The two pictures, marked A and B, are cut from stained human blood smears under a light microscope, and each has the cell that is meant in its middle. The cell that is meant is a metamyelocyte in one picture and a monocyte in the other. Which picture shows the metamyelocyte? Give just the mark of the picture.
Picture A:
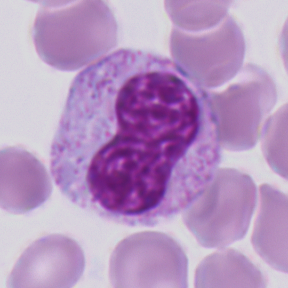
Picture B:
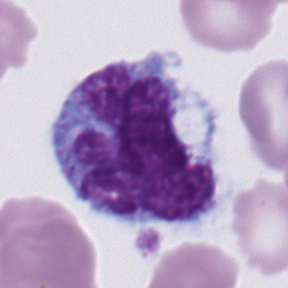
A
